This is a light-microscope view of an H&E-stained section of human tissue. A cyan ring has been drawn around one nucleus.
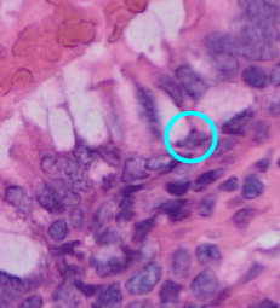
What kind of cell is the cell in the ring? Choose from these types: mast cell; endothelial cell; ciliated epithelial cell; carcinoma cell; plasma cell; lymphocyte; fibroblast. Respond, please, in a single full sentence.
On this particular slide, the cell in the ring is a ciliated epithelial cell.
